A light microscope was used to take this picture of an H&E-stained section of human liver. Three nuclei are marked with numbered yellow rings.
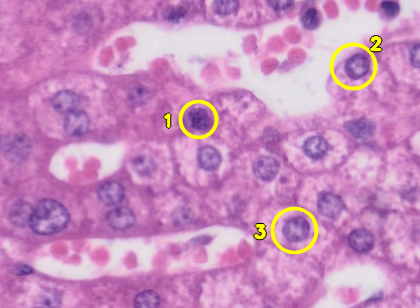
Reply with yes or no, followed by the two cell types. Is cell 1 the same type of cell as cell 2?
No, cell 1 counts as a fibroblast or stellate cell, and cell 2 counts as a hepatocyte.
